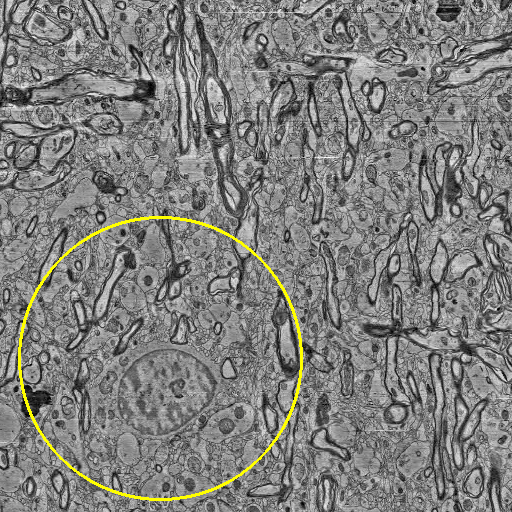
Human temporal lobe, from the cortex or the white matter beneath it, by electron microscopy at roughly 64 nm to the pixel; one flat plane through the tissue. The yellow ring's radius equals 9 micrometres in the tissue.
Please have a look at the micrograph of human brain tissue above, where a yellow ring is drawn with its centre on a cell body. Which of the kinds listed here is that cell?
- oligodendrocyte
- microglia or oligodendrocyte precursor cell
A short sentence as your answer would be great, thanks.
At the centre of the ring sits an oligodendrocyte.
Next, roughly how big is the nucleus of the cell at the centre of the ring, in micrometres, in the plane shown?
Approximately 6 micrometres across in this plane.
